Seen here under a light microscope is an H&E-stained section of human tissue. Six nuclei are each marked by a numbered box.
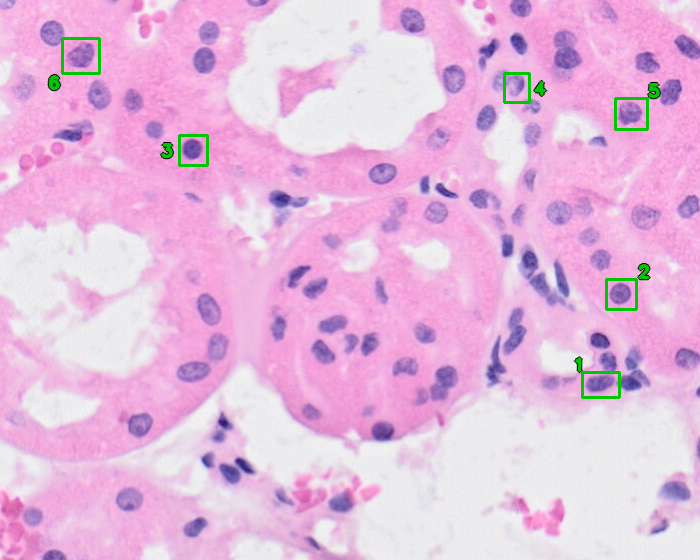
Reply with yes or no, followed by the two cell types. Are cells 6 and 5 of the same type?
Yes, both of cells 6 and 5 are proximal tubule cells.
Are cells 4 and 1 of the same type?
Yes, cells 4 and 1 both belong among the collecting duct cells.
